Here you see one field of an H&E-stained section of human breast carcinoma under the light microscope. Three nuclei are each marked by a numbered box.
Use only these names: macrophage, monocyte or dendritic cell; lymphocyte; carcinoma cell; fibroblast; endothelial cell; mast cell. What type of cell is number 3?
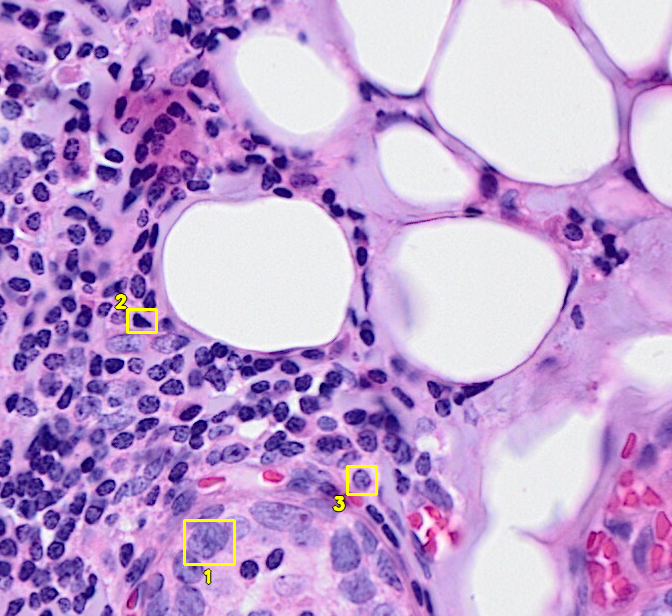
mast cell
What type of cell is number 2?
lymphocyte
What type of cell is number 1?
carcinoma cell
